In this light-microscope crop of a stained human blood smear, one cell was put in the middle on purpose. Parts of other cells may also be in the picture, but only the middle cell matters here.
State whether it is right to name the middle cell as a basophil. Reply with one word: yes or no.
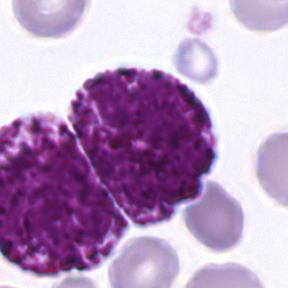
yes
